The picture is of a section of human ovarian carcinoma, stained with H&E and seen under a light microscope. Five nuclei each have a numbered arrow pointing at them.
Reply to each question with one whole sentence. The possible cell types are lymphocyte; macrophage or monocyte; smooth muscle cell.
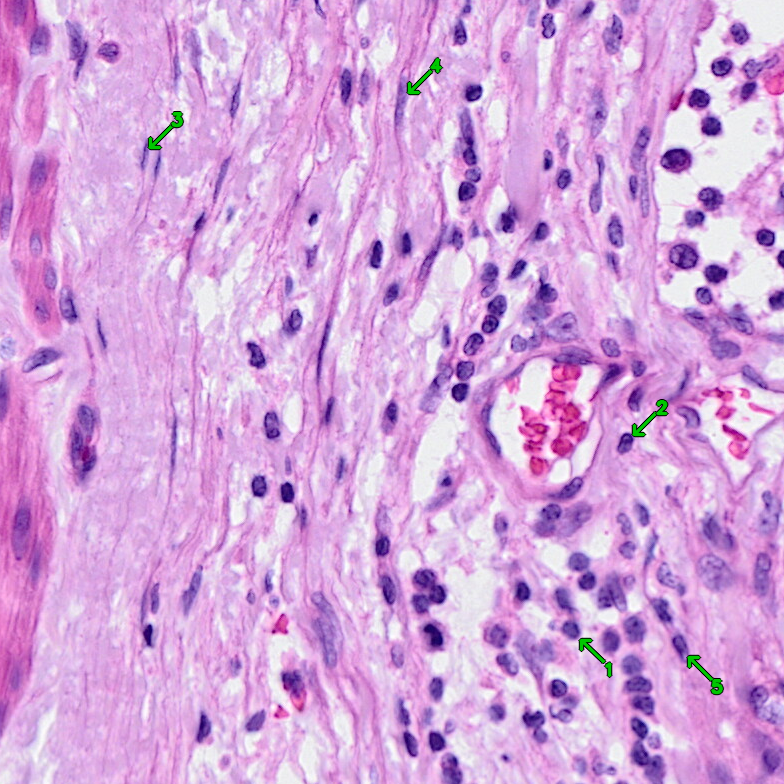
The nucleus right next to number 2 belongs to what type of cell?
Closest to number 2 lies the nucleus of a macrophage or monocyte.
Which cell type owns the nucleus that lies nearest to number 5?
The cell nearest to number 5 is a lymphocyte.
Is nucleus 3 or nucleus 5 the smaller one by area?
Nucleus 3 covers less area, with nucleus 5 about 1.5 times as large.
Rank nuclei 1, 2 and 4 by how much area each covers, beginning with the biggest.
From largest to smallest, the order is 4, 1, 2.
